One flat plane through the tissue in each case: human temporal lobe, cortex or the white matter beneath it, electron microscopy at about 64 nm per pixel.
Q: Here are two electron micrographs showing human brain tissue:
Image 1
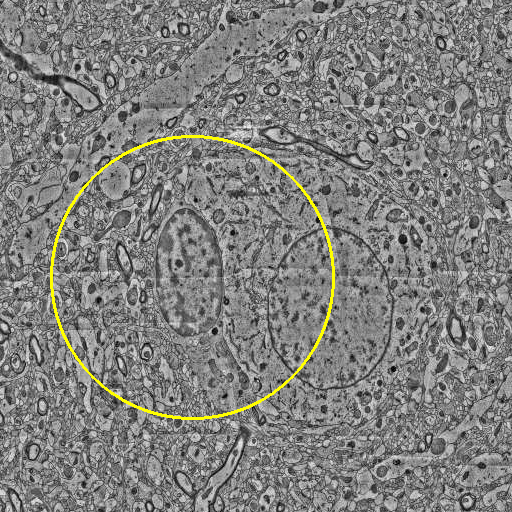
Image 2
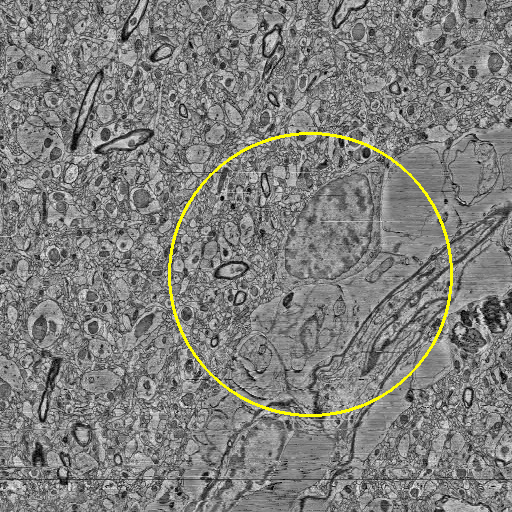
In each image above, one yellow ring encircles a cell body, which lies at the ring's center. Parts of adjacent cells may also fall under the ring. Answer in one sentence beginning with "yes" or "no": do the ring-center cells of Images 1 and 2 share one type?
Yes, in Images 1 and 2, the ring-center cells are both of one type.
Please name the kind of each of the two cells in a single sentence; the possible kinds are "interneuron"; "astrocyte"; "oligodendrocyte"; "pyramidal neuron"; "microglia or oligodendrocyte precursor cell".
The first and the second cell are each an oligodendrocyte.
